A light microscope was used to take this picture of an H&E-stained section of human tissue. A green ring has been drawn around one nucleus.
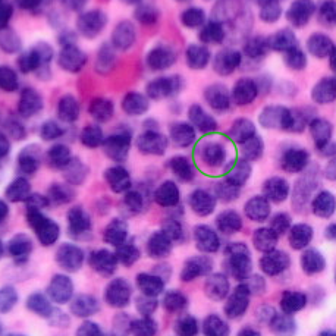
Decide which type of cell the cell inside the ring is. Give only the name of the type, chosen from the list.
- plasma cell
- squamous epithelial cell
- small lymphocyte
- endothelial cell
small lymphocyte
